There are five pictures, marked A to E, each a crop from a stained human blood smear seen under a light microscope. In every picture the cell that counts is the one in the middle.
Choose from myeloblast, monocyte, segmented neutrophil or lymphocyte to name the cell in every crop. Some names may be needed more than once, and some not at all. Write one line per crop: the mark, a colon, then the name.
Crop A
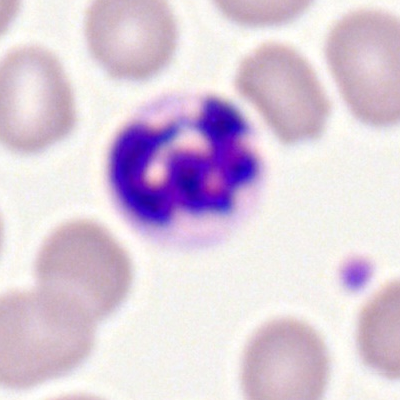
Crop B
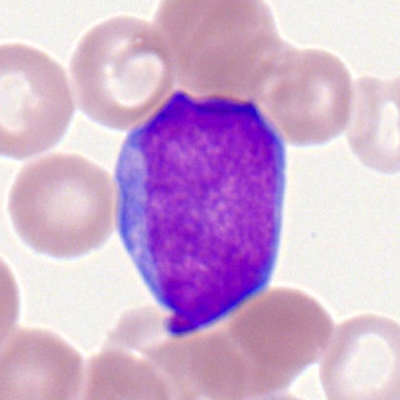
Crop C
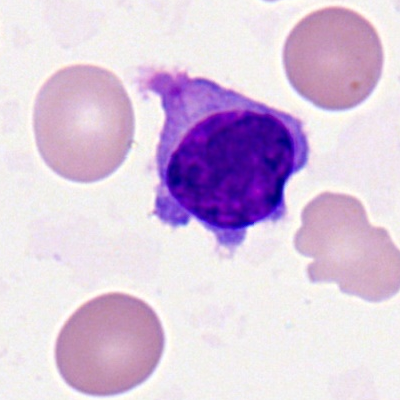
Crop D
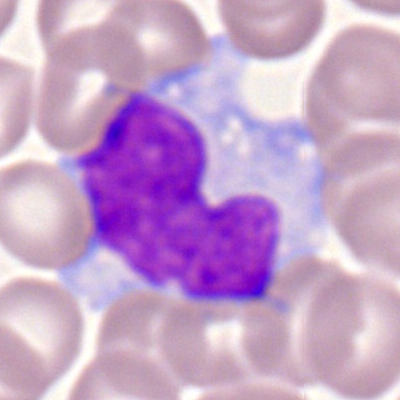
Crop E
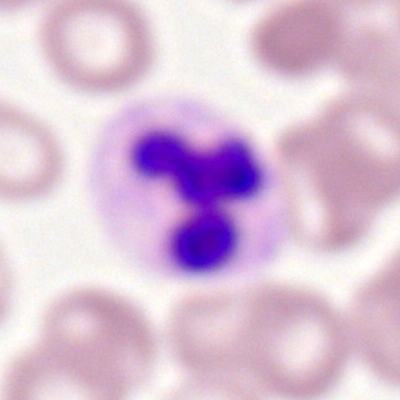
A: segmented neutrophil
B: myeloblast
C: lymphocyte
D: monocyte
E: segmented neutrophil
